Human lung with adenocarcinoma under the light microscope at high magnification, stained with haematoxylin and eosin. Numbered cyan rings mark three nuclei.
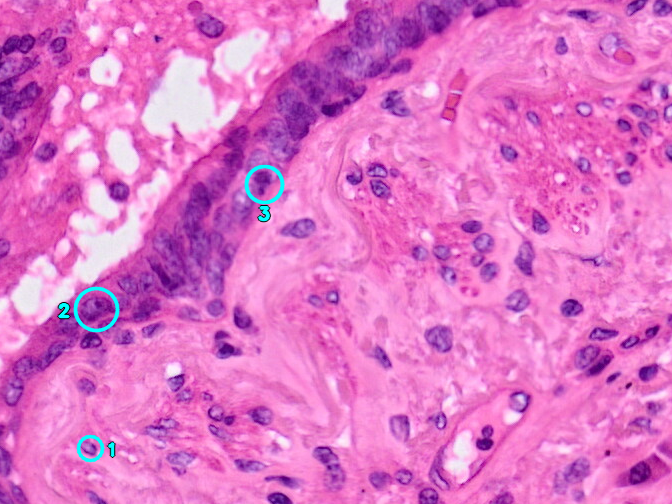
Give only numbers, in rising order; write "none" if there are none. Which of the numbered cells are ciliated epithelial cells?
2, 3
